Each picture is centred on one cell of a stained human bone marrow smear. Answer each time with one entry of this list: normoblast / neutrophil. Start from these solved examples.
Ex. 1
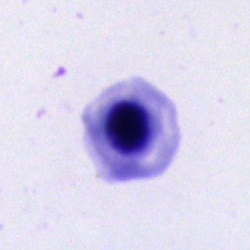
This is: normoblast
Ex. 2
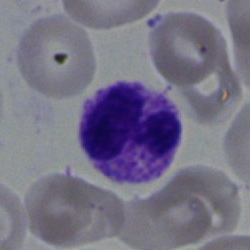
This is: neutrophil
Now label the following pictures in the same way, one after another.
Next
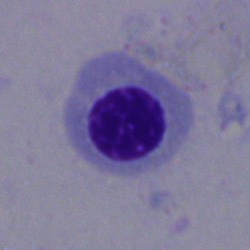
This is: normoblast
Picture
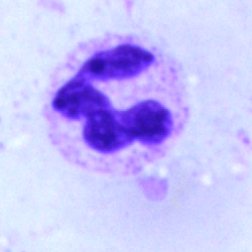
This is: neutrophil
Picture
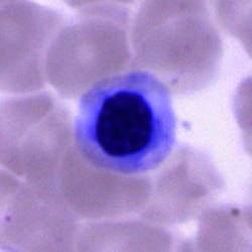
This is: normoblast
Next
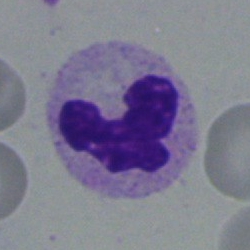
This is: neutrophil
